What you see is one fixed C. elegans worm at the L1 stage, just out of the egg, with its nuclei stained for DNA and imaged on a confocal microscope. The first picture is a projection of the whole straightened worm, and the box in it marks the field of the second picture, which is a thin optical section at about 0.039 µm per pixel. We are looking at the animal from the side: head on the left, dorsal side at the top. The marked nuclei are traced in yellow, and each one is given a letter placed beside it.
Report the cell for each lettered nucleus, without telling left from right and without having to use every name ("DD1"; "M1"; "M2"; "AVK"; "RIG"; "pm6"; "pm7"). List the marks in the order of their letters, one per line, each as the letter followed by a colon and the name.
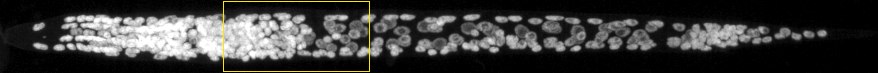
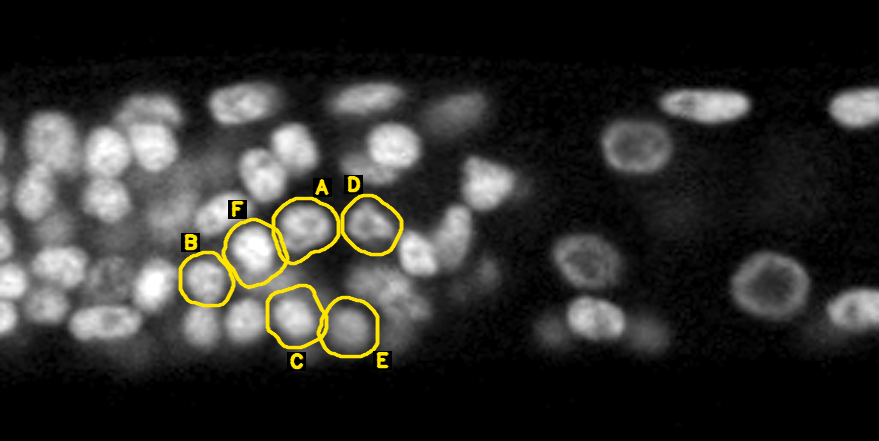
A: pm6
B: AVK
C: DD1
D: pm7
E: RIG
F: M2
